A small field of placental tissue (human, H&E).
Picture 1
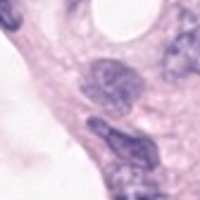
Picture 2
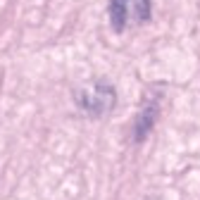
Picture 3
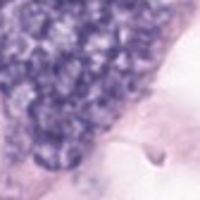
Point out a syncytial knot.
That is picture 3.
